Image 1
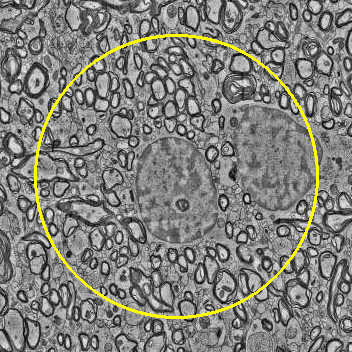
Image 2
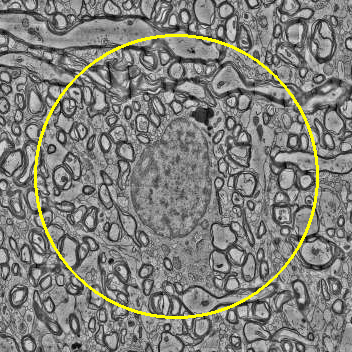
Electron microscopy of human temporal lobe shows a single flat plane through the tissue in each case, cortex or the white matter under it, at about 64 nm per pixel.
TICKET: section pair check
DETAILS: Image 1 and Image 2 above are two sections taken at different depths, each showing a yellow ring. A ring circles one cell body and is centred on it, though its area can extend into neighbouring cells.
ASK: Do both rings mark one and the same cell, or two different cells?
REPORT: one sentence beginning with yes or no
No, the yellow rings mark two separate cells, not one.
